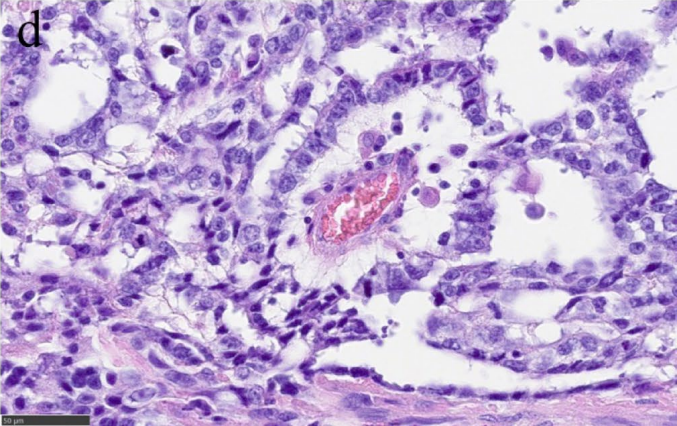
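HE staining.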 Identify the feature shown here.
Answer: Schiller Duval Body.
